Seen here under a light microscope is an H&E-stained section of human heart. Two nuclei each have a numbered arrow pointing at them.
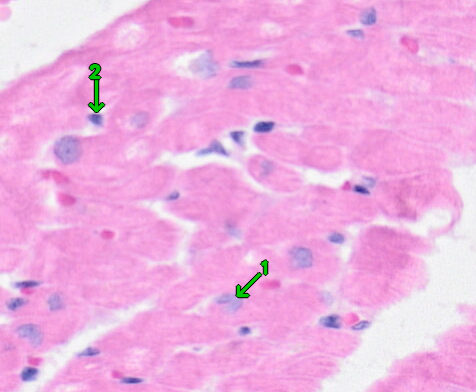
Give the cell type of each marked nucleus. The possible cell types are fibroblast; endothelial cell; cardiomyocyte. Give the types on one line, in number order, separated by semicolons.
cardiomyocyte; endothelial cell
